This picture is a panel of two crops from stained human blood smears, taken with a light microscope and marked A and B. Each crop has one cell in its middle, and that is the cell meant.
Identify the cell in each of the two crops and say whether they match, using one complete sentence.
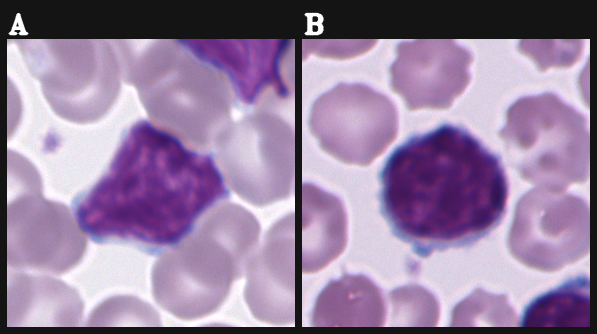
Yes, the pair of crops both show typical lymphocytes.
